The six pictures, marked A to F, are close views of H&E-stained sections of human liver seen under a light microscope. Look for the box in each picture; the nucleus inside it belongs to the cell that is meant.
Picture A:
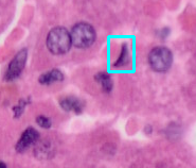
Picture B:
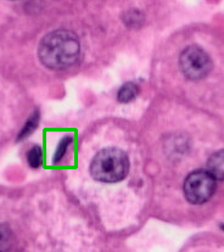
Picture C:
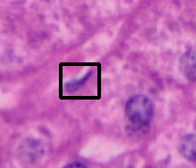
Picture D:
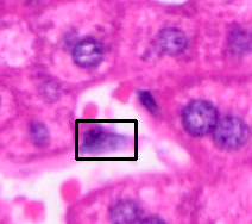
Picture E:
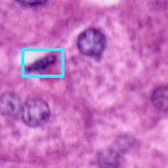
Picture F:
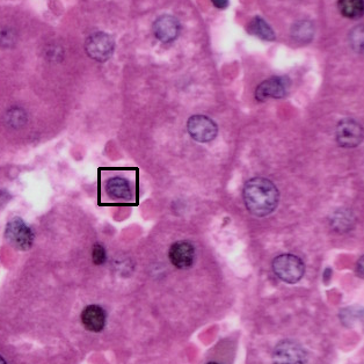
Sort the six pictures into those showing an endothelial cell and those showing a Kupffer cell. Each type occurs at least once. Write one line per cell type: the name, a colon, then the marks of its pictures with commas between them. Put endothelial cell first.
endothelial cell: A, B, C, E
Kupffer cell: D, F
